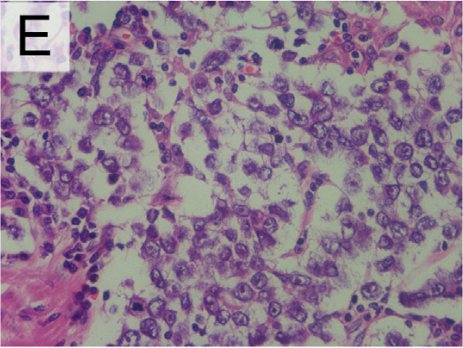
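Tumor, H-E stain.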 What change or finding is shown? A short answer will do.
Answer: cytoplasmic clearing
